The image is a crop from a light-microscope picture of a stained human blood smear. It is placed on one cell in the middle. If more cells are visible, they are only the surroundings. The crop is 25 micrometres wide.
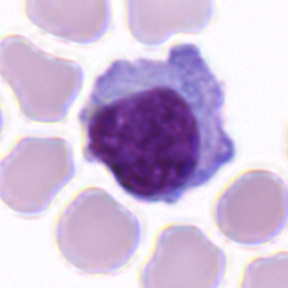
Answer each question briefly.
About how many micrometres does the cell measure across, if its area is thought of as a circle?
13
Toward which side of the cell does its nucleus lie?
lower left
